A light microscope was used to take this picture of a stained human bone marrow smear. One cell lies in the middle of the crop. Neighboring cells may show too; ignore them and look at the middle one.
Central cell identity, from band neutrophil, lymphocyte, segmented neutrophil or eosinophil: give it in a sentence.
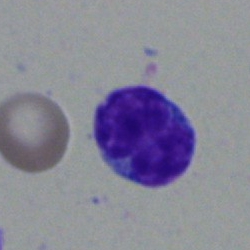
Within this crop, a lymphocyte occupies the central position.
